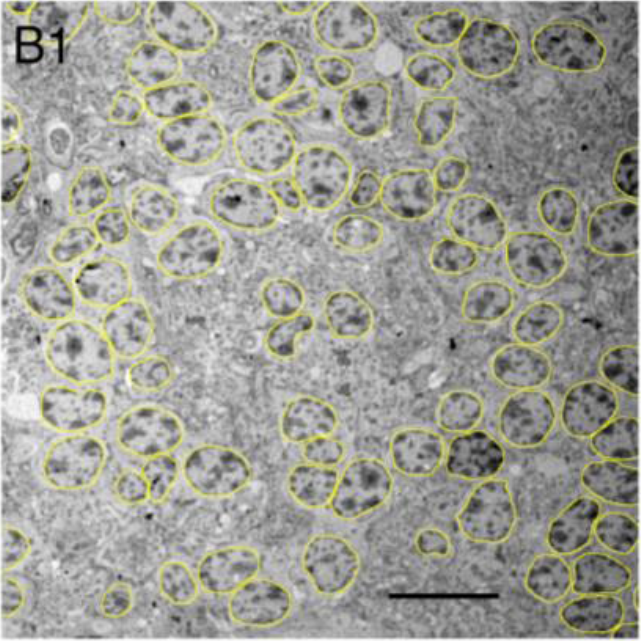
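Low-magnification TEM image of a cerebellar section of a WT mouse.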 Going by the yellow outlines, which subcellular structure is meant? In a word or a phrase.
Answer: Nuclei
